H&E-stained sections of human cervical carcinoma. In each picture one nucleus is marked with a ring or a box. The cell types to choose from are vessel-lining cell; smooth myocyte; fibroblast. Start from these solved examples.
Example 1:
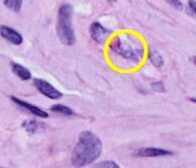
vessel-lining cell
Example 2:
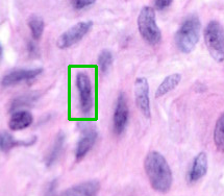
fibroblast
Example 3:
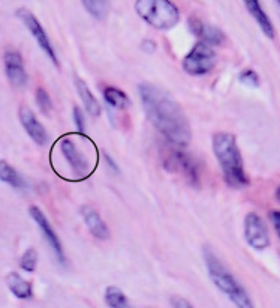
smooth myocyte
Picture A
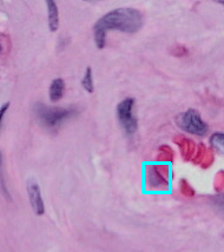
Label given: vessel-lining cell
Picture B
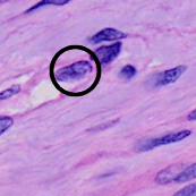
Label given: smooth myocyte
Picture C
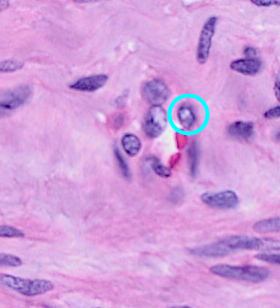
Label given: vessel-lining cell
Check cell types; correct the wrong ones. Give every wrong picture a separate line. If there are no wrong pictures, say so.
B is labelled smooth myocyte; correct label: vessel-lining cell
